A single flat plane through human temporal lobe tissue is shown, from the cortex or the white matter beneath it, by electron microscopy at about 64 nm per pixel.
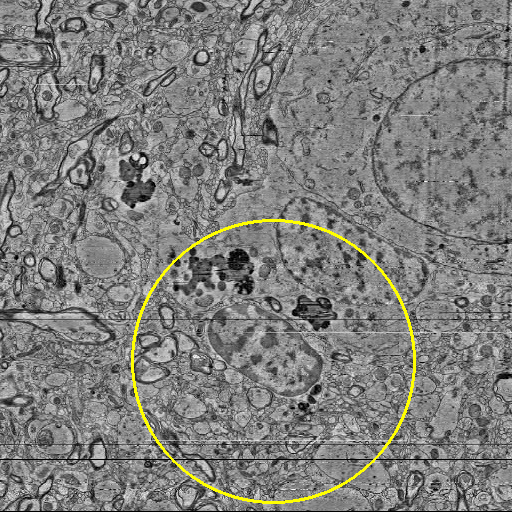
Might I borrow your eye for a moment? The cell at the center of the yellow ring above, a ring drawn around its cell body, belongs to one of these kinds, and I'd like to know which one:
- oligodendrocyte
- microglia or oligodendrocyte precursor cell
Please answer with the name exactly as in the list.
microglia or oligodendrocyte precursor cell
